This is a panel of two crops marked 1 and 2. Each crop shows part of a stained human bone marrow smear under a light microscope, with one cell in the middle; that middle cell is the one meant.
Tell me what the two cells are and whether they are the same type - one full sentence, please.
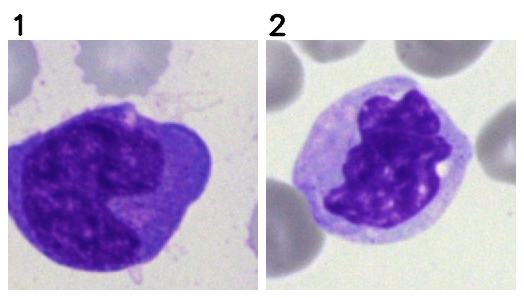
Yes, monocytes are the cells in the middle of both crops.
